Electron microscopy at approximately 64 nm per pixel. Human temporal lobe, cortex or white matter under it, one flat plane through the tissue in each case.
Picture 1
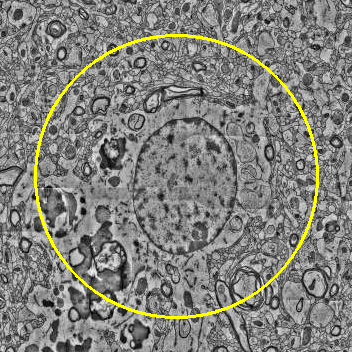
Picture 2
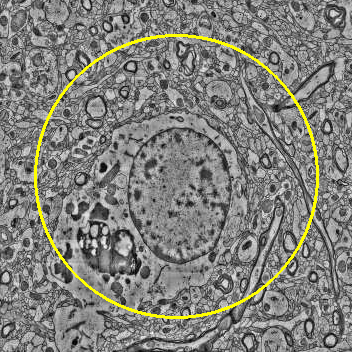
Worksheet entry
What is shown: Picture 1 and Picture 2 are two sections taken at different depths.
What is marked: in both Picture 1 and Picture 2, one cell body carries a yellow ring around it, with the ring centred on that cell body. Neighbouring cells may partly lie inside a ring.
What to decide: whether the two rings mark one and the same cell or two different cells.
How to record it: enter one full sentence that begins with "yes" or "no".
Yes, the first and second rings frame the same single cell.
